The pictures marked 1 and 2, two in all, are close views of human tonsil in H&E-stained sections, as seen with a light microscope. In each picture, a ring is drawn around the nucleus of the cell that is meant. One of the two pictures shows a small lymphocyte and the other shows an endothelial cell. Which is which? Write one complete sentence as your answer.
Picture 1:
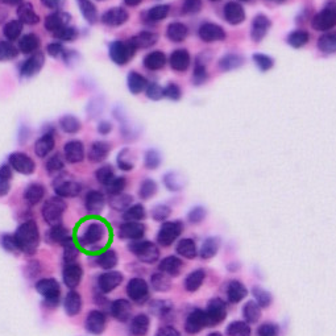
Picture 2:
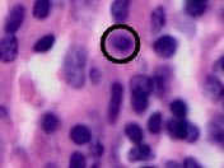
Picture 1 shows a small lymphocyte and picture 2 shows an endothelial cell.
